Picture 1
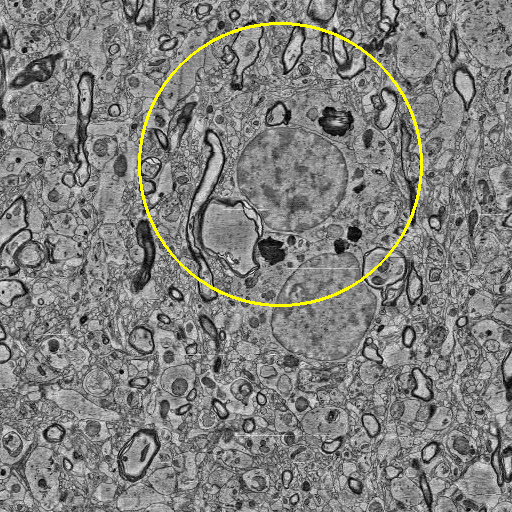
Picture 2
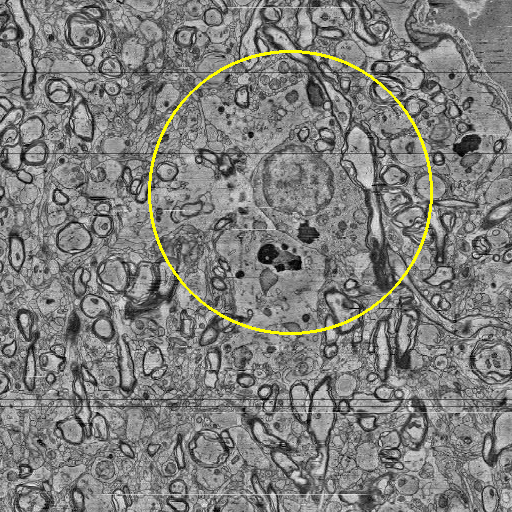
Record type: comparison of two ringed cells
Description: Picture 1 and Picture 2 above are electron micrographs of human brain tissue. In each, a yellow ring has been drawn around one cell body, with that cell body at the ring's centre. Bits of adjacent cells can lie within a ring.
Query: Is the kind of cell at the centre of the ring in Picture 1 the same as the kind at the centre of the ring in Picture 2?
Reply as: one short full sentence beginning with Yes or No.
Yes, the two ringed cells are of the same kind.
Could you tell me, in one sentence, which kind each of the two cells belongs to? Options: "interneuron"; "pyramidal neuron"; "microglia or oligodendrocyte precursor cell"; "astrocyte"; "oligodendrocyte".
In the first picture and in the second, the ring is centred on an oligodendrocyte.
